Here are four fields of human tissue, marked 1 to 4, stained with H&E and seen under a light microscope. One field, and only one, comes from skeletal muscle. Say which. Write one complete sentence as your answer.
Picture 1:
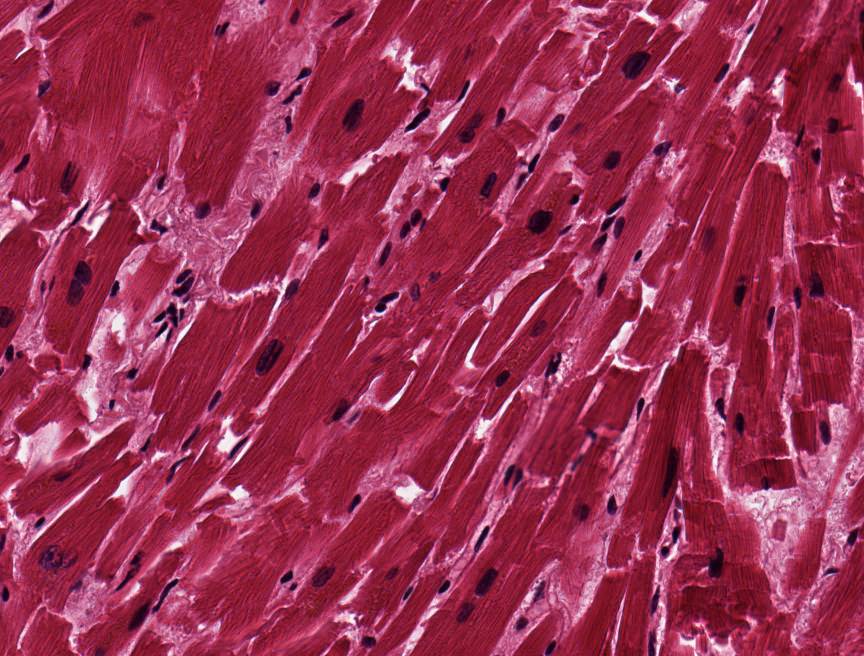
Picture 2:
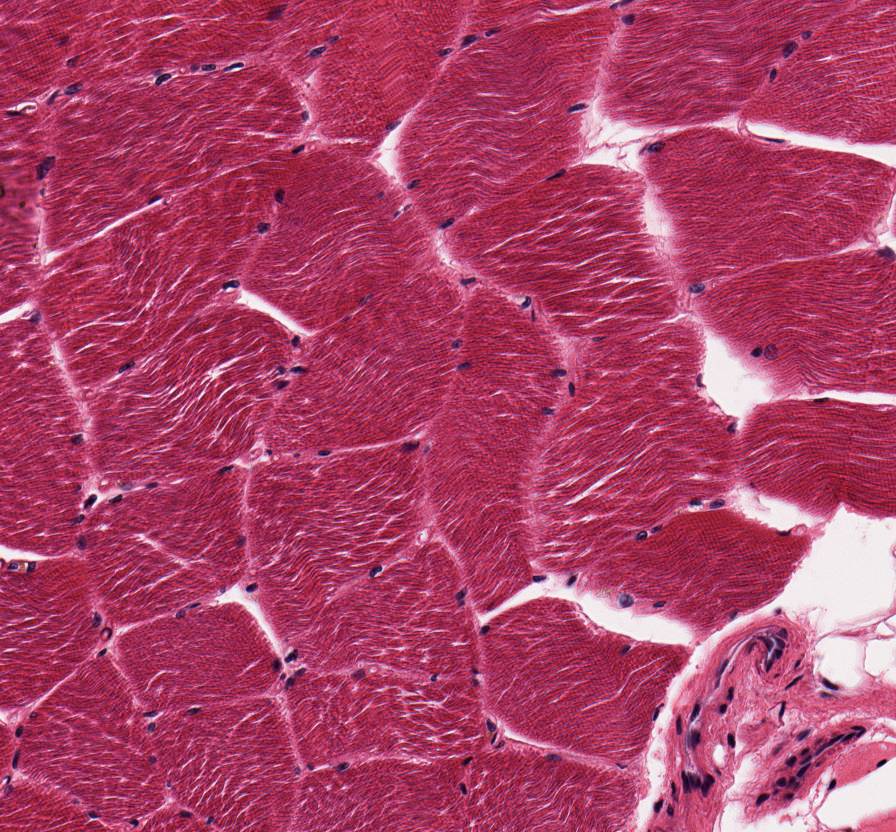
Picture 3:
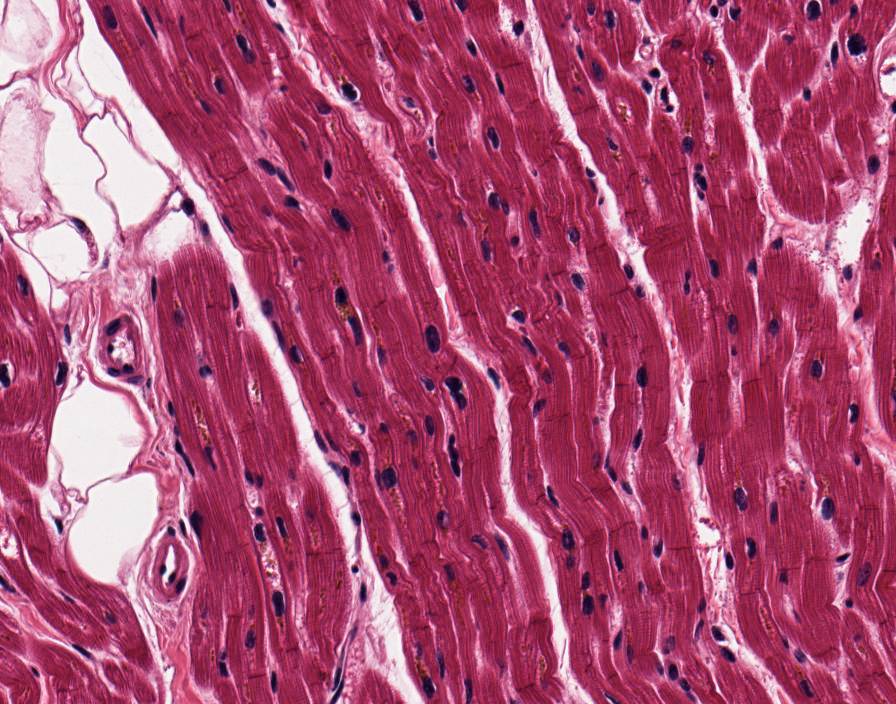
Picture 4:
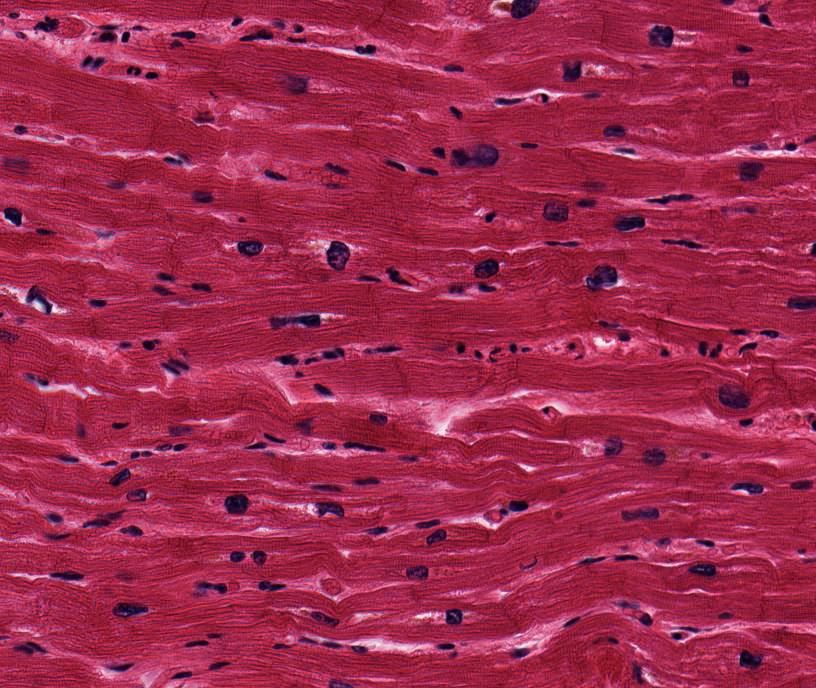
It is picture 2 that comes from skeletal muscle.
